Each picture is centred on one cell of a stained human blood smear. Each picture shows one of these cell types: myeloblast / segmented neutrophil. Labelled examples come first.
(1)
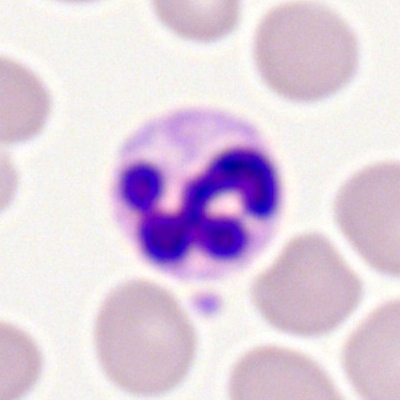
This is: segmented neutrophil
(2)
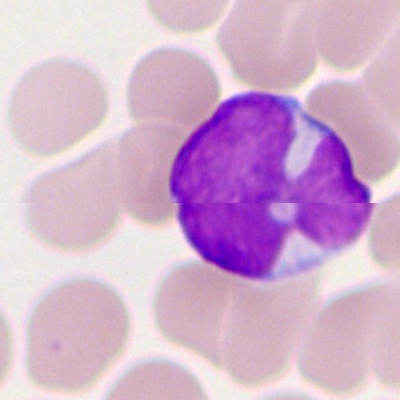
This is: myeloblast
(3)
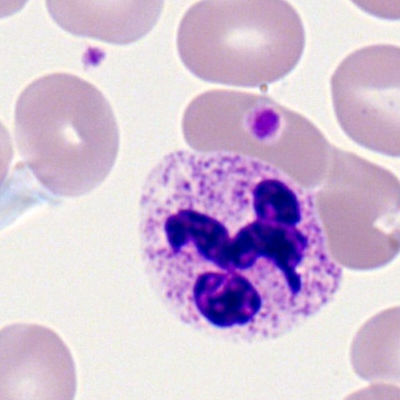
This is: segmented neutrophil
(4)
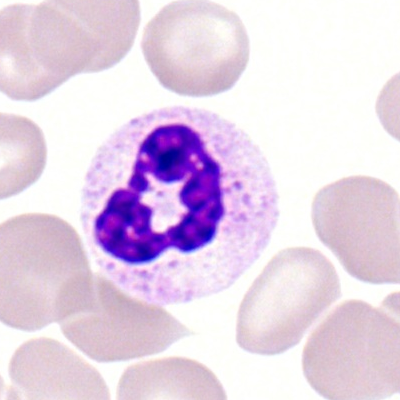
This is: segmented neutrophil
